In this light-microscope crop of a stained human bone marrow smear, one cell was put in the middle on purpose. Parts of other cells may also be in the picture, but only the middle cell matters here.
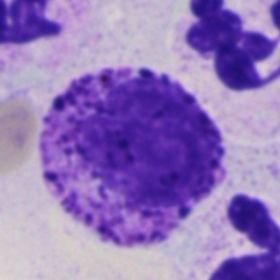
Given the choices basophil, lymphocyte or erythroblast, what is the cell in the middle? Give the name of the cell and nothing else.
basophil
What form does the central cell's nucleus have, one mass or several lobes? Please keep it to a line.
One compact mass makes up the whole nucleus, round, oval or kidney-shaped.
